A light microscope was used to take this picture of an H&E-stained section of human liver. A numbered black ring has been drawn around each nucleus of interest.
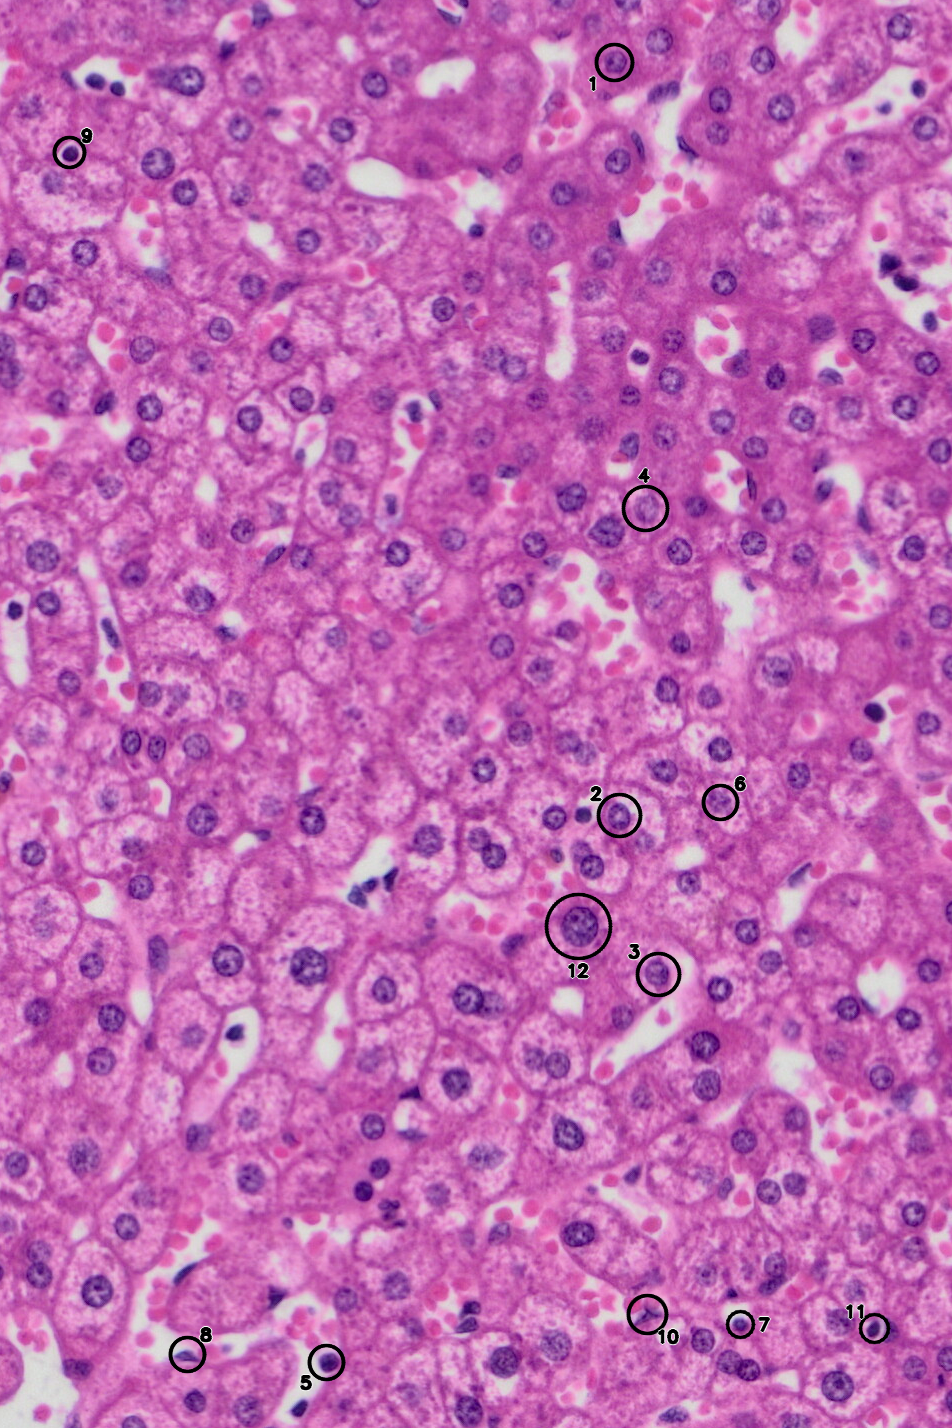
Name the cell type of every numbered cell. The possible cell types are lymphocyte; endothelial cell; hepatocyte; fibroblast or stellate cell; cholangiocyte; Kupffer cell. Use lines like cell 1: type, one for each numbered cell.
cell 1: hepatocyte
cell 2: hepatocyte
cell 3: hepatocyte
cell 4: hepatocyte
cell 5: lymphocyte
cell 6: hepatocyte
cell 7: lymphocyte
cell 8: endothelial cell
cell 9: lymphocyte
cell 10: endothelial cell
cell 11: lymphocyte
cell 12: hepatocyte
